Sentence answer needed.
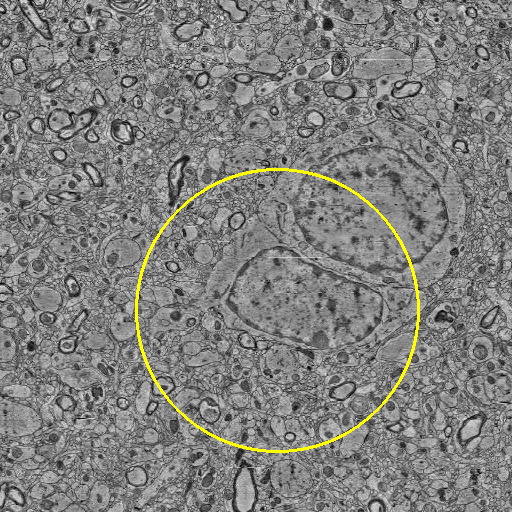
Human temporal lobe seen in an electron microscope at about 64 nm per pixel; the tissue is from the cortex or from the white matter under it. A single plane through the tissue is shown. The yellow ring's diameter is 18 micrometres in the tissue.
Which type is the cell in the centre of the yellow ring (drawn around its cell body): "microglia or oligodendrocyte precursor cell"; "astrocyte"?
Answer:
In the centre of the yellow ring is a microglial cell or oligodendrocyte precursor cell.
